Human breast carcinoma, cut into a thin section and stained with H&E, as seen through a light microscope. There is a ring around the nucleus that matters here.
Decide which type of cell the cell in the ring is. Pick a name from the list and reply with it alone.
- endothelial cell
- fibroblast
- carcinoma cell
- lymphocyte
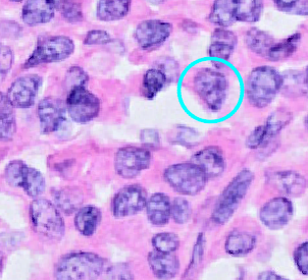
carcinoma cell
